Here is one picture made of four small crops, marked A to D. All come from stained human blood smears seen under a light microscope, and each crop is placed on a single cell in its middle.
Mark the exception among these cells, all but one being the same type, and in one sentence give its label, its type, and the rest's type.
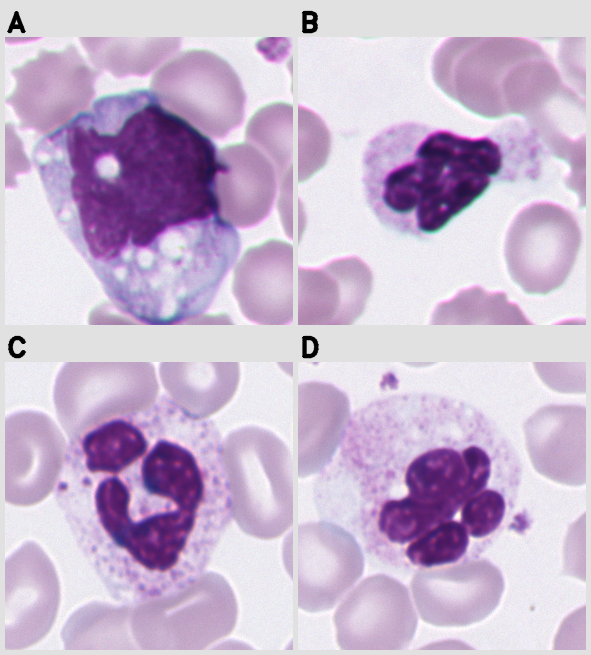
Here the outlier is crop A, which is a monocyte, and the rest are segmented neutrophils.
